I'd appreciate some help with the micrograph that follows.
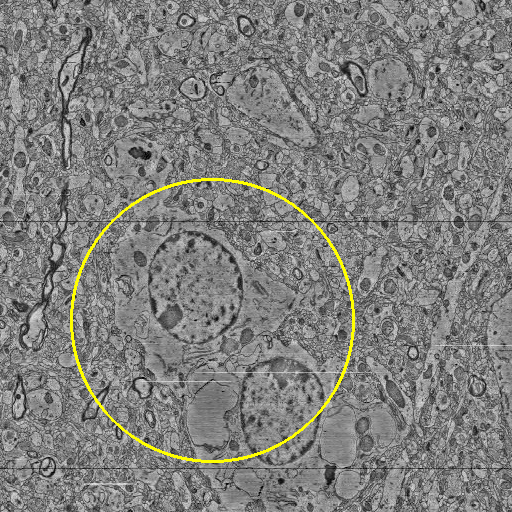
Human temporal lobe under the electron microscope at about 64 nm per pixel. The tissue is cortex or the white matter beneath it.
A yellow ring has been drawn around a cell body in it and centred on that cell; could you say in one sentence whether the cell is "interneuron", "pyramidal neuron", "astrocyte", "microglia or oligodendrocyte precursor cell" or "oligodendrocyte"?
It is an astrocyte at the centre of the ring.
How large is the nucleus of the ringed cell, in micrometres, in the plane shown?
Approximately 7 by 6 micrometers in this plane.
